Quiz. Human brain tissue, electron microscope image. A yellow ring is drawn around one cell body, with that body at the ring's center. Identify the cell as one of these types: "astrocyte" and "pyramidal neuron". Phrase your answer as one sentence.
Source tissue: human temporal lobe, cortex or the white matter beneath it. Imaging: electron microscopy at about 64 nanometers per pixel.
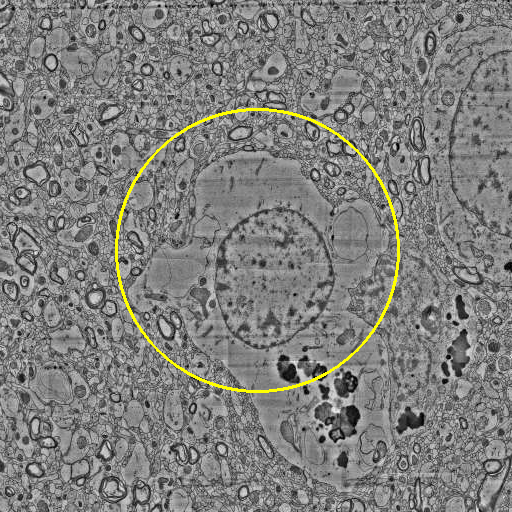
At the center of the ring sits an astrocyte.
